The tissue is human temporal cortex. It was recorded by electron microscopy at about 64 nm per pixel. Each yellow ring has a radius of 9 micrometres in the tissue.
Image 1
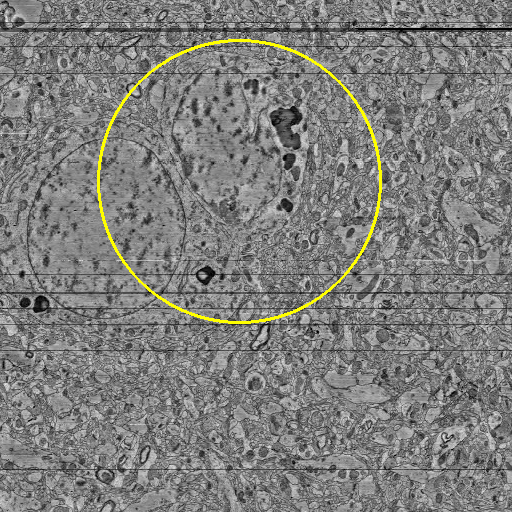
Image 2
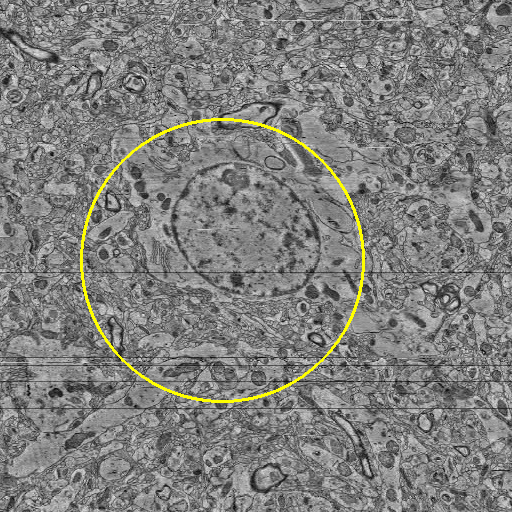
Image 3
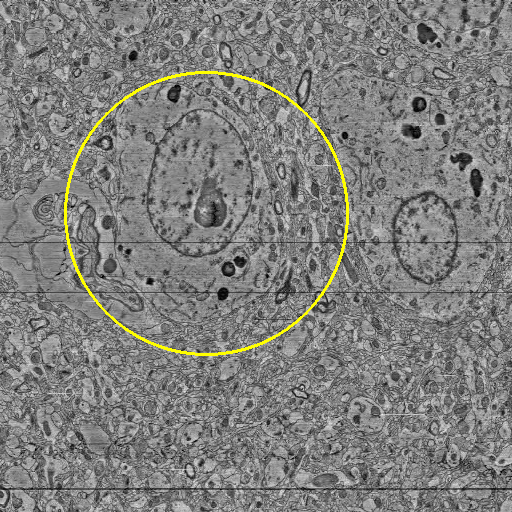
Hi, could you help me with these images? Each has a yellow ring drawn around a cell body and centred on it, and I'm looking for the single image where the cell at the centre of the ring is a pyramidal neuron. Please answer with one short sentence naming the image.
It is Image 3 that has it at the centre of its ring.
